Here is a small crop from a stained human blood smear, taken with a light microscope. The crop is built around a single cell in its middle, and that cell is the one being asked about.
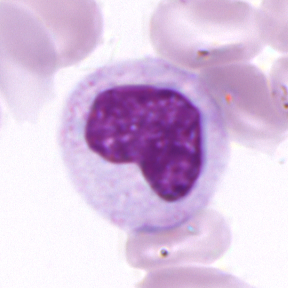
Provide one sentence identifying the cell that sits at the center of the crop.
This crop is built around a metamyelocyte at its centre.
